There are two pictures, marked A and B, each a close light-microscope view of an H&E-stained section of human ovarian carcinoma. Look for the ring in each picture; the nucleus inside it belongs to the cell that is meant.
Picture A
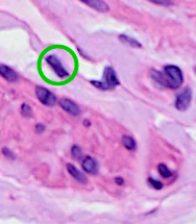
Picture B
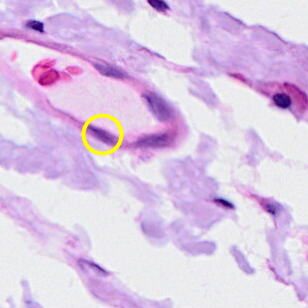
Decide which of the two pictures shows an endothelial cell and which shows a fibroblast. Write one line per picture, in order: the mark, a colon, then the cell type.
A: fibroblast
B: endothelial cell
